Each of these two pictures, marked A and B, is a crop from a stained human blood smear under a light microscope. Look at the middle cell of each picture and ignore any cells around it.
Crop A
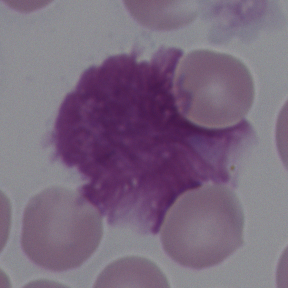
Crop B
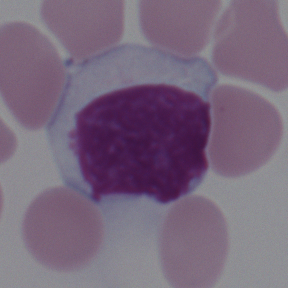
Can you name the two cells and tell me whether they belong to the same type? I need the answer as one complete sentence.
No, crop A and crop B contain, respectively, a smudge cell and a typical lymphocyte.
